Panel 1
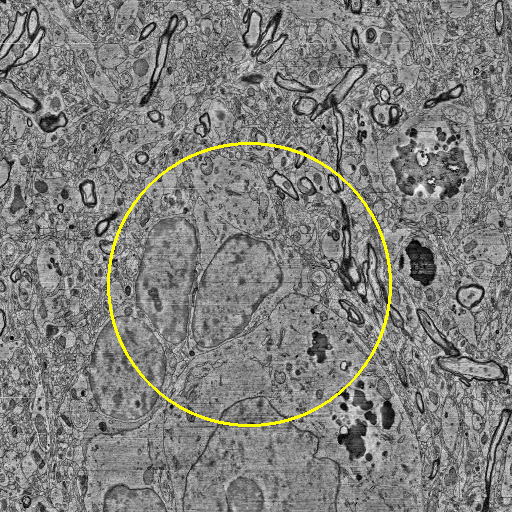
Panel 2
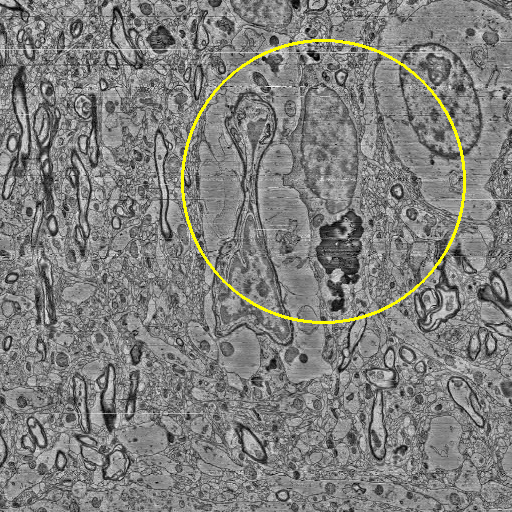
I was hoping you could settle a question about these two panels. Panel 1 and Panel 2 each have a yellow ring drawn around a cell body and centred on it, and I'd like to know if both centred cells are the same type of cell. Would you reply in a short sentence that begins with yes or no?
No, they are two types of cell.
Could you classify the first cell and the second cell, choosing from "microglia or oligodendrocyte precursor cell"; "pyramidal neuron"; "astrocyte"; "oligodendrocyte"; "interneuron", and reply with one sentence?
The second cell is an oligodendrocyte, while the first is a microglial cell or oligodendrocyte precursor cell.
